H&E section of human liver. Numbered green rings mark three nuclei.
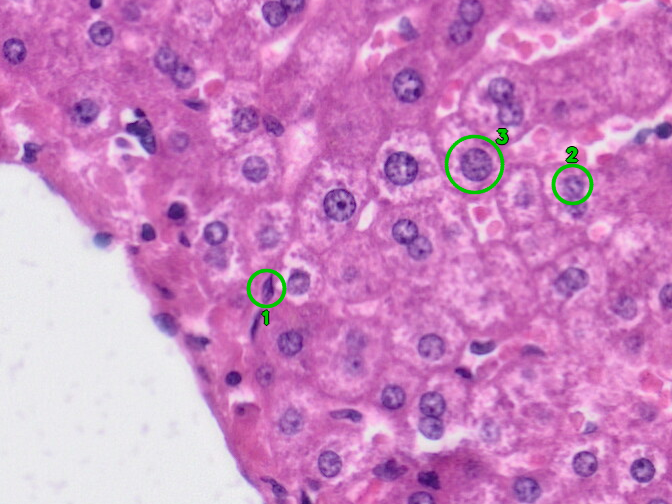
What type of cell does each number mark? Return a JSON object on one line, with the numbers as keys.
{"1": "fibroblast or stellate cell", "2": "hepatocyte", "3": "hepatocyte"}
